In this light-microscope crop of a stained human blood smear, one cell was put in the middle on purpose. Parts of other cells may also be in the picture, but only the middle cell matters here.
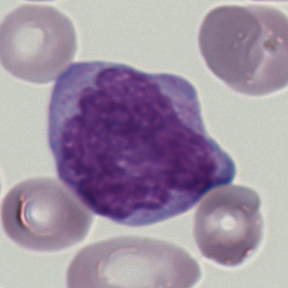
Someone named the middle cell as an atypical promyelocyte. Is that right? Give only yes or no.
yes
